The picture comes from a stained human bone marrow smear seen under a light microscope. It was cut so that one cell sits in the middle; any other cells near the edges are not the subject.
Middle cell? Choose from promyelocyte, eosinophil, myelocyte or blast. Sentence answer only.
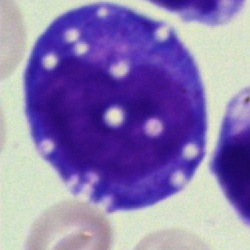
This crop has a blast at its centre.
